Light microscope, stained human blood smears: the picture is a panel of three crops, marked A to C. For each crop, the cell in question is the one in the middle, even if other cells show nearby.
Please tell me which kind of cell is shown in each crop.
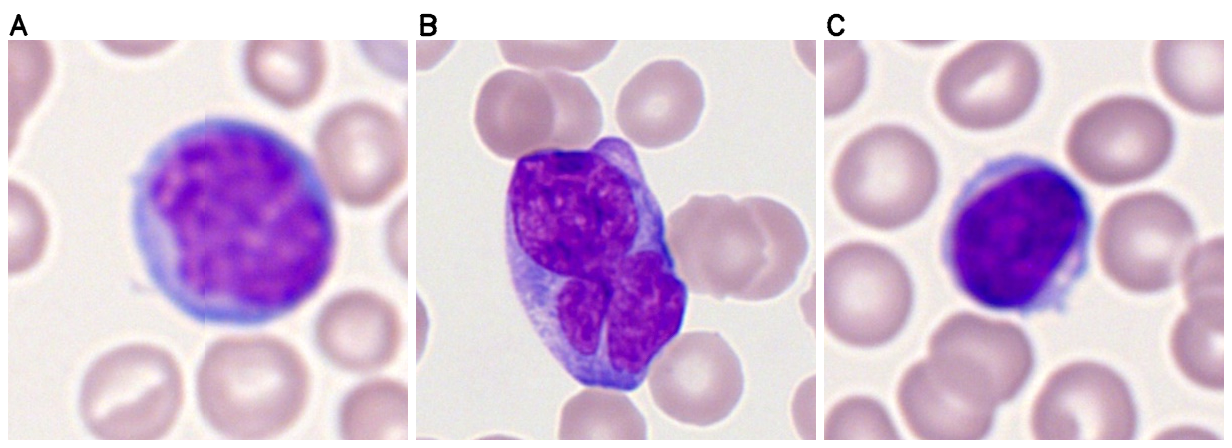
A: monocyte
B: myeloblast
C: lymphocyte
